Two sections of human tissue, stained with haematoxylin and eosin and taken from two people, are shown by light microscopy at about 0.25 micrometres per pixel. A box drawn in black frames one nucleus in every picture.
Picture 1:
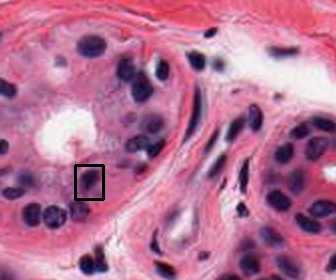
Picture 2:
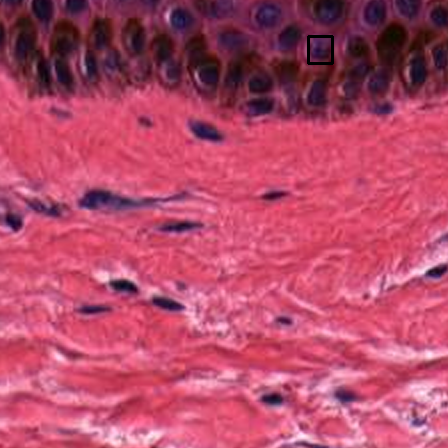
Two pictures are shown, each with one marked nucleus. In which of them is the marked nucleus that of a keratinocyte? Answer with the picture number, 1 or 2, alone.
2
